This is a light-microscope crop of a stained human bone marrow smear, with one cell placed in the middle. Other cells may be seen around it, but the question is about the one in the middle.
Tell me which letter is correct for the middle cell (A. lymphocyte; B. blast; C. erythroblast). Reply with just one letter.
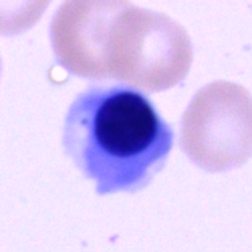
C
